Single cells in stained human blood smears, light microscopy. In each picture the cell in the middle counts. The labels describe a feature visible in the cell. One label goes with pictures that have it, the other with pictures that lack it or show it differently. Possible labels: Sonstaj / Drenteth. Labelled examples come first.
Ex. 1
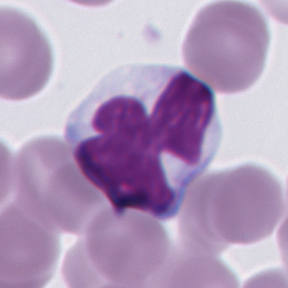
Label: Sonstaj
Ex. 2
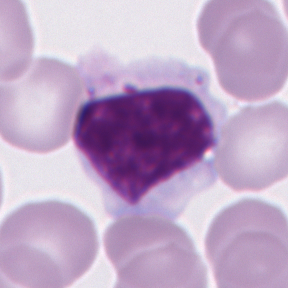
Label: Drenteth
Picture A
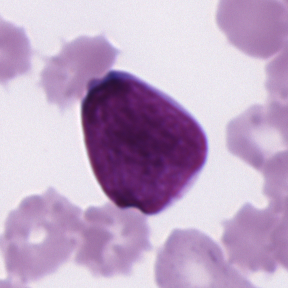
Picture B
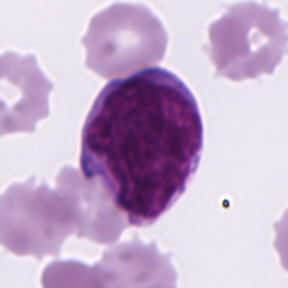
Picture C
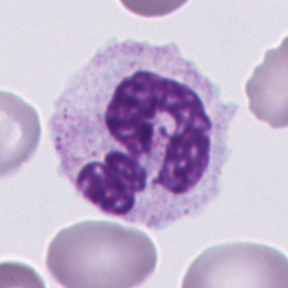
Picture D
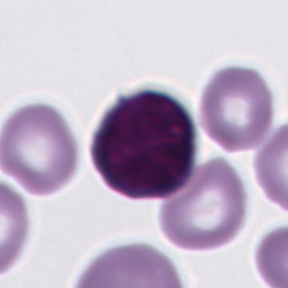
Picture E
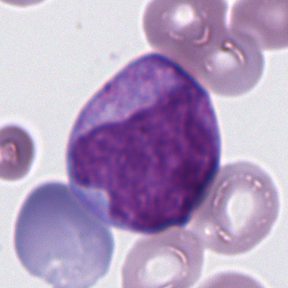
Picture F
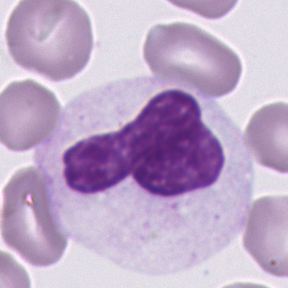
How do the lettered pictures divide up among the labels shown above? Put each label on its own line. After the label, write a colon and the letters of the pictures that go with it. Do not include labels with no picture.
Sonstaj: A, B, E, F
Drenteth: C, D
